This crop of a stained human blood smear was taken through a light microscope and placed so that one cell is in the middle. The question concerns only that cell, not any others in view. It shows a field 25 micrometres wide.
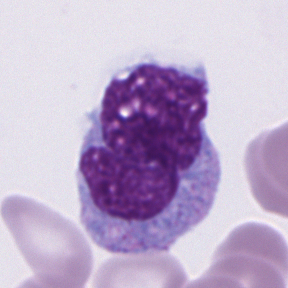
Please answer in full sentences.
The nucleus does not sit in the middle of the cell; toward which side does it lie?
It is shifted toward the top of the cell.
